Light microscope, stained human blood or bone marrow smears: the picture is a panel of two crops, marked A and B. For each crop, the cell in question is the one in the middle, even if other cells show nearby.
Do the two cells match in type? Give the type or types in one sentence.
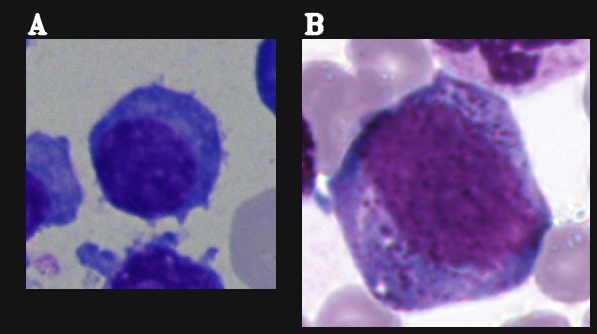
No, crop A features a plasma cell, and crop B features a promyelocyte.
